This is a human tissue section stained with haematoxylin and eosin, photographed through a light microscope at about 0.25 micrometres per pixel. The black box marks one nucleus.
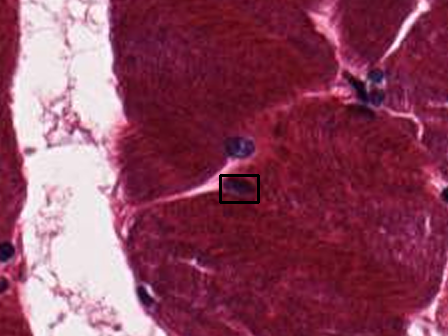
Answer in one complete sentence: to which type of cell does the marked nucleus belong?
The cell to which the marked nucleus belongs is a skeletal muscle fibre.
